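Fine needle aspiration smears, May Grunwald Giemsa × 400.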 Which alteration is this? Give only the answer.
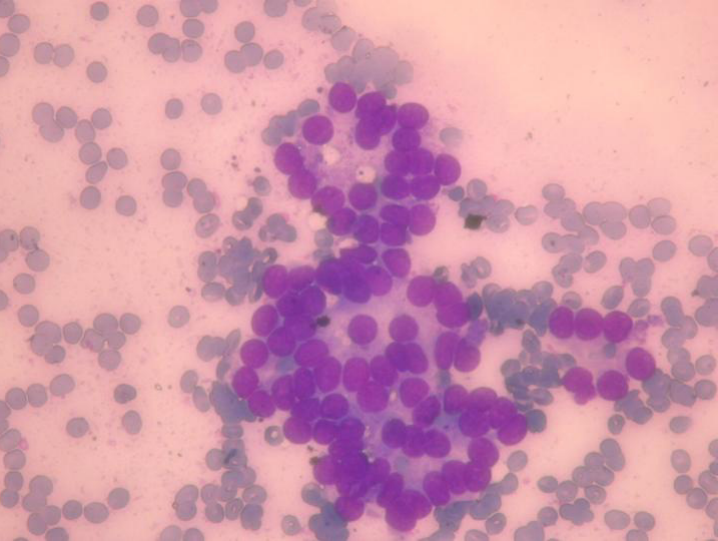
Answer: Microfollicular lesion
